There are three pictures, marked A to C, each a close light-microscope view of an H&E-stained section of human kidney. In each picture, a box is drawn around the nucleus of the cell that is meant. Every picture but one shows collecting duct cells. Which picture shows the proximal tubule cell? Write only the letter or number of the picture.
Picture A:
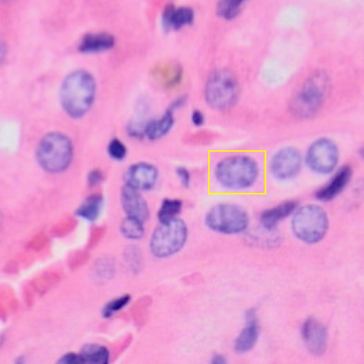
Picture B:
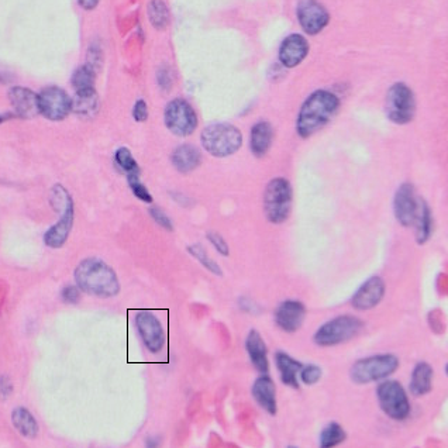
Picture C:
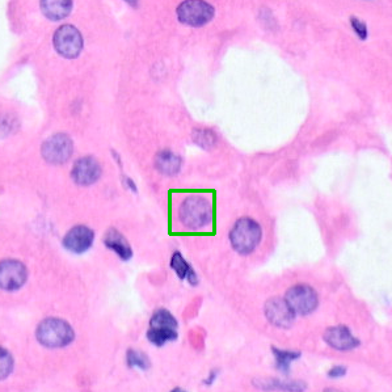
C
